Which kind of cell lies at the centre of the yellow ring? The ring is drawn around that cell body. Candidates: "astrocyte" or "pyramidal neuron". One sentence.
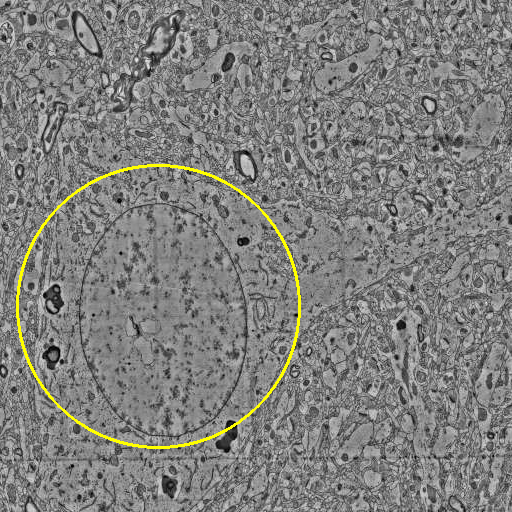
Lying at the centre of the ring is a pyramidal neuron.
